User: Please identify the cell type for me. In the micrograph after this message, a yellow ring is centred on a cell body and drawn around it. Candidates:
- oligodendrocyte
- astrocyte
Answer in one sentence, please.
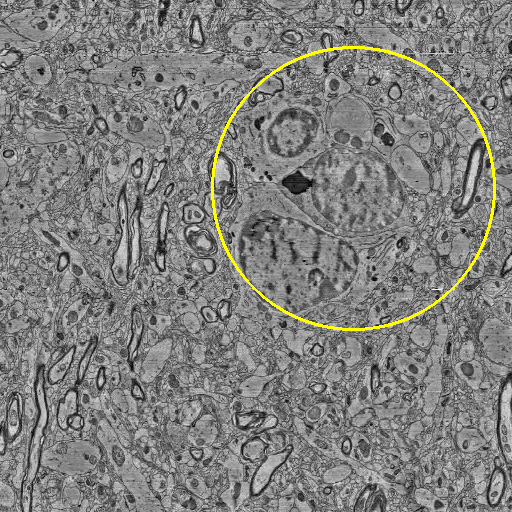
The ring is drawn around the cell body of an oligodendrocyte.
